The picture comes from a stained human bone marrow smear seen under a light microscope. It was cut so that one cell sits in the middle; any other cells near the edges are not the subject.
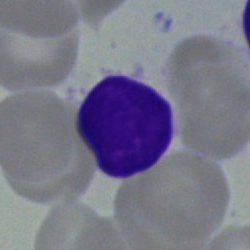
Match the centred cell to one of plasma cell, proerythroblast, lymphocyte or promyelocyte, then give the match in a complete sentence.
The centrally positioned cell in the crop represents a lymphocyte.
